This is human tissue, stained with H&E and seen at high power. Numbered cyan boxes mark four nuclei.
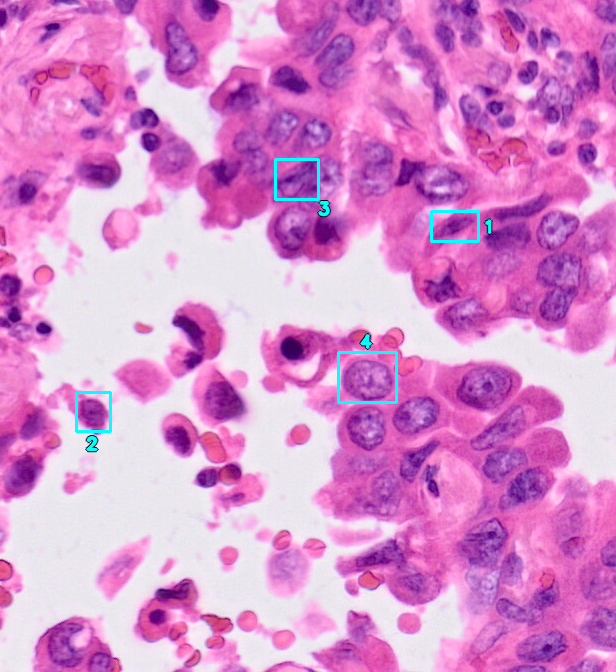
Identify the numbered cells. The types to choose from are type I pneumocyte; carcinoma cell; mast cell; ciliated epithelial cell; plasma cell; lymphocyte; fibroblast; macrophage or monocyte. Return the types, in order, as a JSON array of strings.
["carcinoma cell", "macrophage or monocyte", "carcinoma cell", "carcinoma cell"]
